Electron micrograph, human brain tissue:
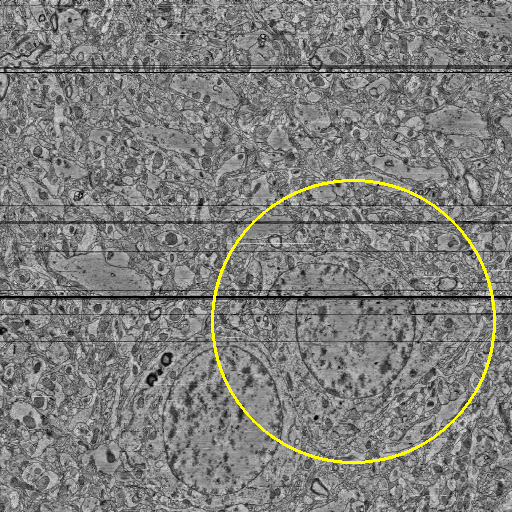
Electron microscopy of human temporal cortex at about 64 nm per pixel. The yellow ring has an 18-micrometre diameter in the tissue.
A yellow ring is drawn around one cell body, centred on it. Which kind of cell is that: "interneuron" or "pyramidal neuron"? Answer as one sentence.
It is a pyramidal neuron at the centre of the ring.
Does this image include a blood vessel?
No, a blood vessel is absent from this picture.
